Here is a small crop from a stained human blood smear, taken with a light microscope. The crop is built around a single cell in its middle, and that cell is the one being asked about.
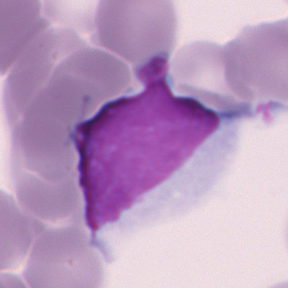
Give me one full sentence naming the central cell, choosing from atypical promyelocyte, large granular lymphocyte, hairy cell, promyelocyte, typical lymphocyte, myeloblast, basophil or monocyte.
The cell in the exact centre of the crop is a typical lymphocyte.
